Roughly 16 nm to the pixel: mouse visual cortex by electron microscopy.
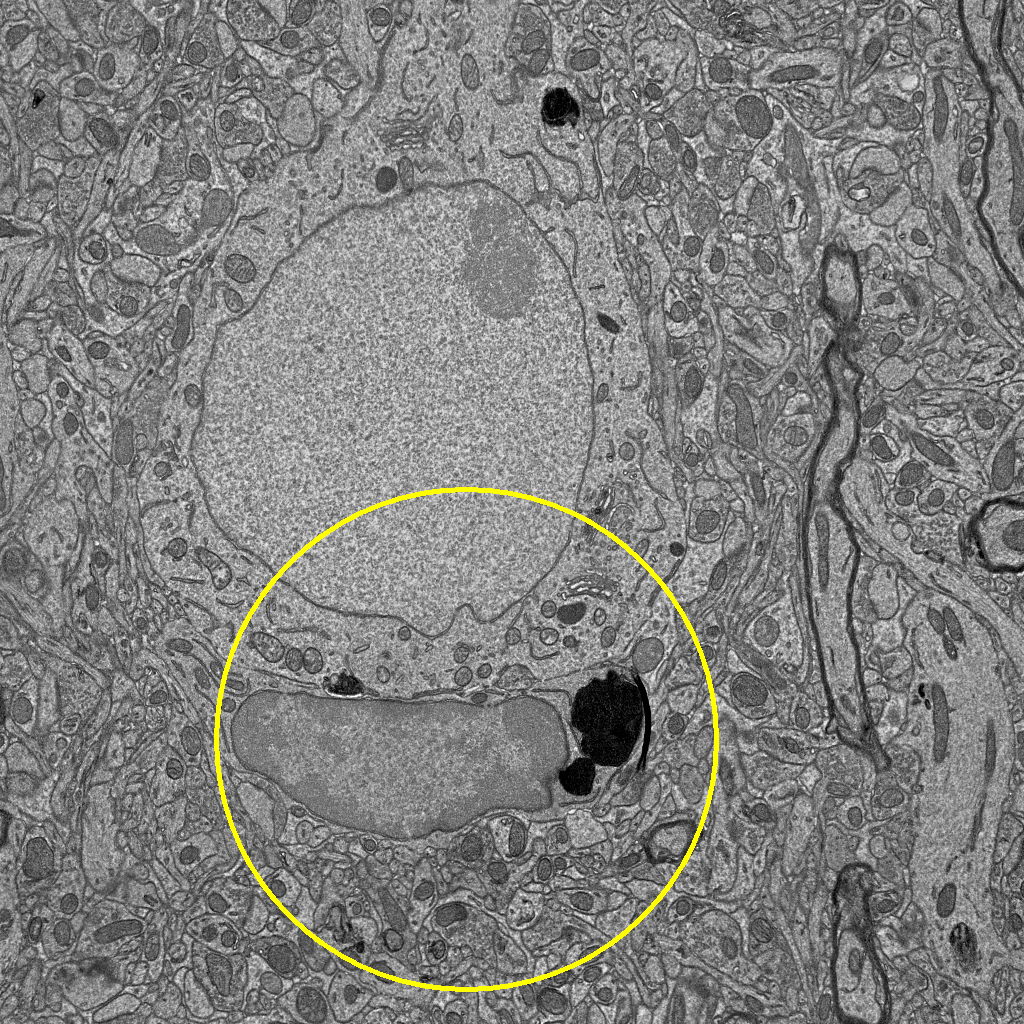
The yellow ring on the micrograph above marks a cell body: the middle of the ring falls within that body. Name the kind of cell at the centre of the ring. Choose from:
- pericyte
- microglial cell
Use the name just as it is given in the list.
microglial cell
